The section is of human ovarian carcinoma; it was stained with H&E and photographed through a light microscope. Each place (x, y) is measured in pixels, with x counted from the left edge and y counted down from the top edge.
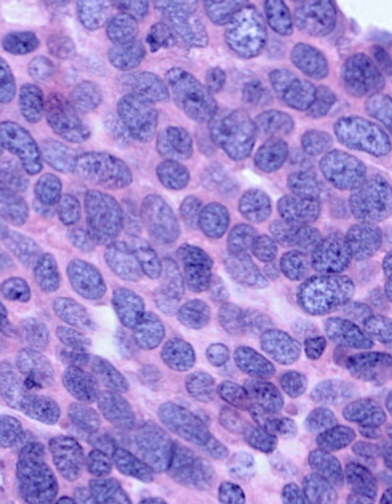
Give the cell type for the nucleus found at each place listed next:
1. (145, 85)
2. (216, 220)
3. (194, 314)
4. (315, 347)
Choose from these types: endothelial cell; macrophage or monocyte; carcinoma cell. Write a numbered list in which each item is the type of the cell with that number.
1. carcinoma cell
2. carcinoma cell
3. carcinoma cell
4. macrophage or monocyte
